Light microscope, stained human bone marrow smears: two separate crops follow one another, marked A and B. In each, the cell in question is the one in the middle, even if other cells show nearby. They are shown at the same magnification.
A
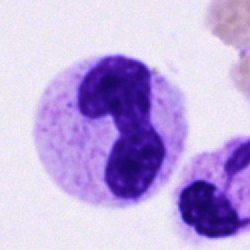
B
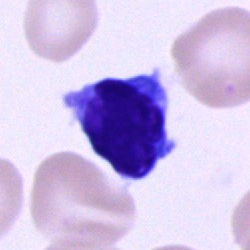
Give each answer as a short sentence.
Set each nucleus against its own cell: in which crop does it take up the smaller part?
It is the cell in crop A that is filled less by its nucleus.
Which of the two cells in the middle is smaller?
The cell in crop B is smaller; the one in crop A has about 2 times its area.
